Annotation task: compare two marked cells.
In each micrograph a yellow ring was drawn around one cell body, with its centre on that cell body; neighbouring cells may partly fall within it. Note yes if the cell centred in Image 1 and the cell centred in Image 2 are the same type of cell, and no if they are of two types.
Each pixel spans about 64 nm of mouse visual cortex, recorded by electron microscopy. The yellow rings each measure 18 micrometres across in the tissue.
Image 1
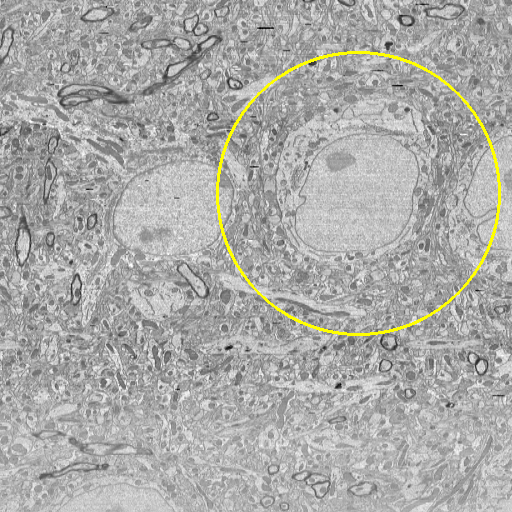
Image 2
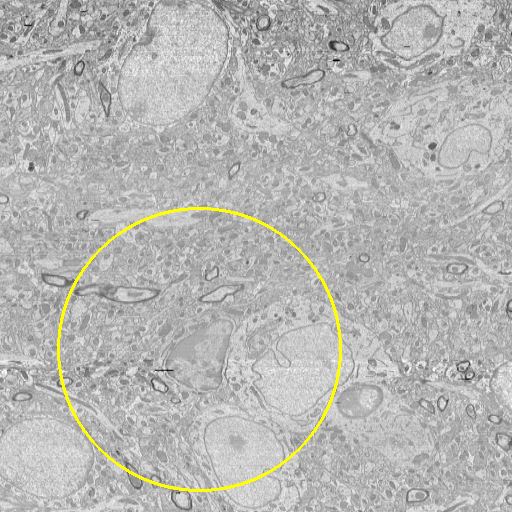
no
